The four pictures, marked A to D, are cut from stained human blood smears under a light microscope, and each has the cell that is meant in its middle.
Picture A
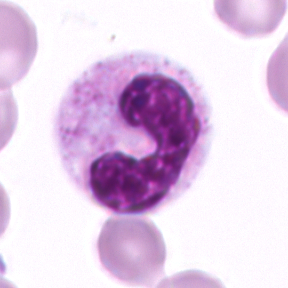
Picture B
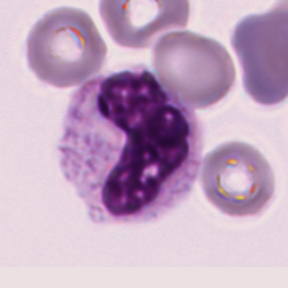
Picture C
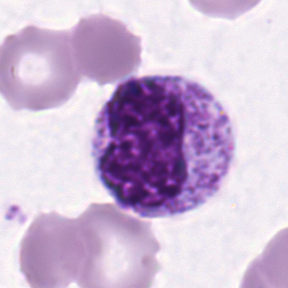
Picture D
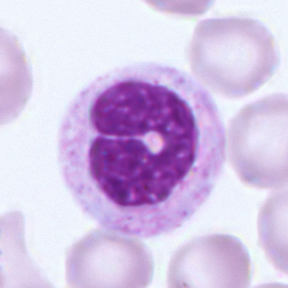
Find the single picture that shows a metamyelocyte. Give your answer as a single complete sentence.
The picture with the metamyelocyte is C.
